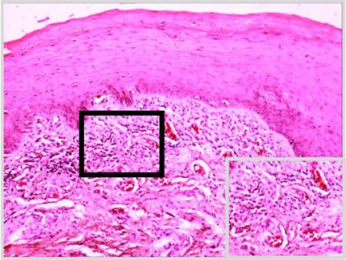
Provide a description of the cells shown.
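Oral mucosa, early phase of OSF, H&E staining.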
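A thick pink stratified squamous epithelium lies on top, and just beneath it the connective tissue is crowded with many small, dark-staining round nuclei. Scattered vessel lumens filled with red blood cells lie among these cells in the pink fibrous stroma. This dense cell collection beneath the epithelium is a mild inflammatory infiltrate of the juxta-epithelial area with blood vessels.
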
